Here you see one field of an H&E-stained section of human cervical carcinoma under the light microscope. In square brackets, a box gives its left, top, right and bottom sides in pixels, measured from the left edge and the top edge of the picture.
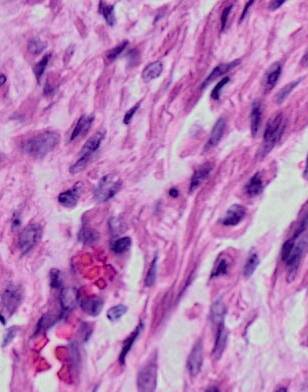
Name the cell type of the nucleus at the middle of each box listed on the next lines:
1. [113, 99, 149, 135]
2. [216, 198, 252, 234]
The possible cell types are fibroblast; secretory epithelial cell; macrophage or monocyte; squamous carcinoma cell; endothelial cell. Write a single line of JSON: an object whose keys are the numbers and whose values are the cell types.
{"1": "fibroblast", "2": "macrophage or monocyte"}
